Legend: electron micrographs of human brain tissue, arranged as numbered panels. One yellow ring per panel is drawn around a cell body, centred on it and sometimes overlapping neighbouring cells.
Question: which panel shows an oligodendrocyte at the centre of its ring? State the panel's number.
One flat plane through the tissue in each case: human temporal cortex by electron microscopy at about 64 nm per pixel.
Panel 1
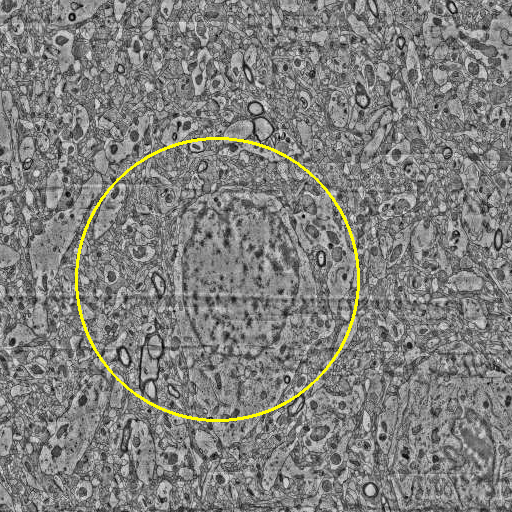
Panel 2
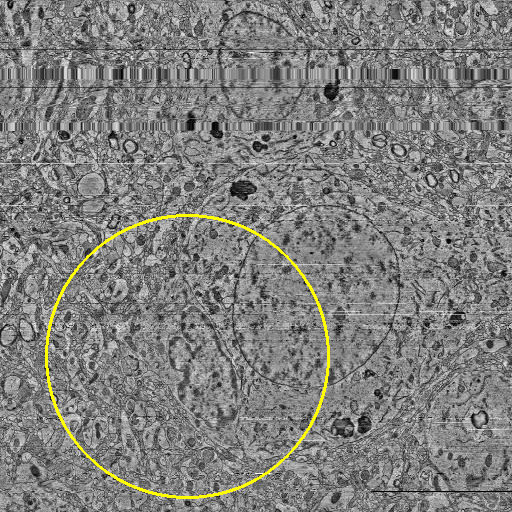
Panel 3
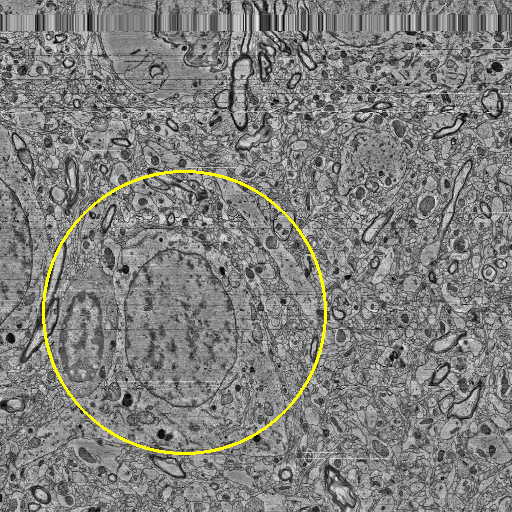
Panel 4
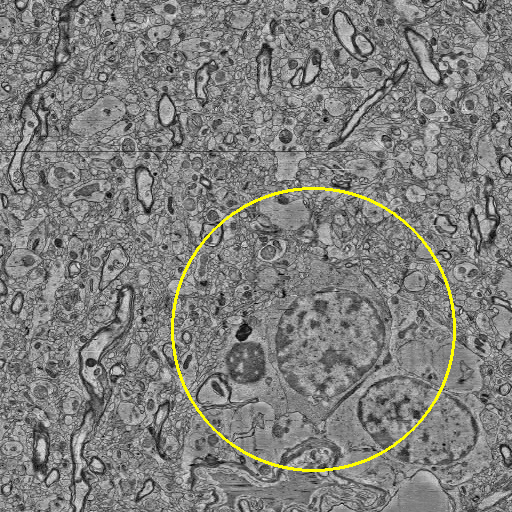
4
